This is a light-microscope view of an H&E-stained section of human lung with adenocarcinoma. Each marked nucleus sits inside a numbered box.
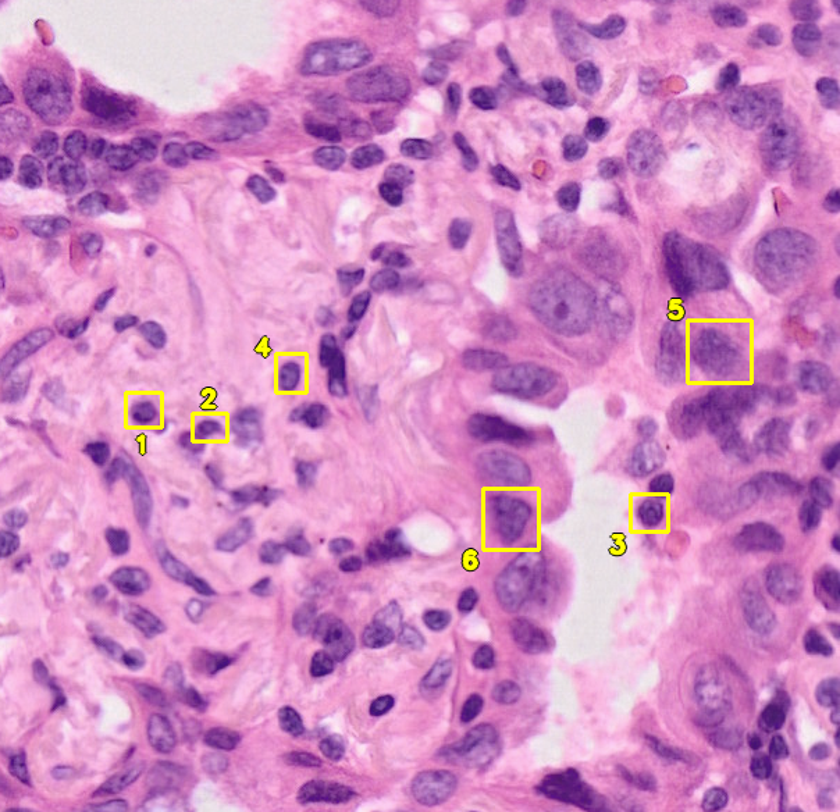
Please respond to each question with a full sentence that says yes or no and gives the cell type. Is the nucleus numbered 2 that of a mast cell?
No, number 2 does not mark a mast cell; it marks a plasma cell.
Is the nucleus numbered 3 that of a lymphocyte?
Yes, the cell indicated by number 3 is a lymphocyte.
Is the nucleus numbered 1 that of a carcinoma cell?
No, number 1 identifies a plasma cell, not a carcinoma cell.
